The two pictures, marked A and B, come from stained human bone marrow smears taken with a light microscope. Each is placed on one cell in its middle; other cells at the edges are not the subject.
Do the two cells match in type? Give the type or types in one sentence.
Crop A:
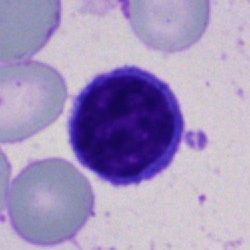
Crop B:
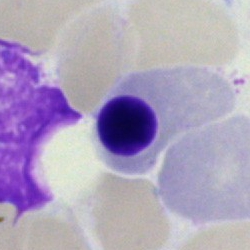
No, it is crop A that shows a lymphocyte, and crop B shows an erythroblast.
